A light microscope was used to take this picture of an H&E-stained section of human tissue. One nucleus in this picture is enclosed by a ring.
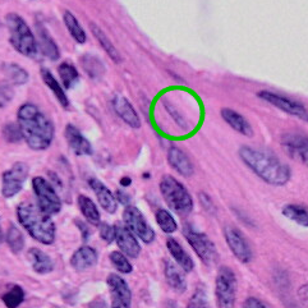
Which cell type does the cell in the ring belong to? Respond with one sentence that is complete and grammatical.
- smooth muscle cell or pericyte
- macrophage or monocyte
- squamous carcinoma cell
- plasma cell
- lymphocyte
The identity of the cell in the ring: it is a squamous carcinoma cell.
